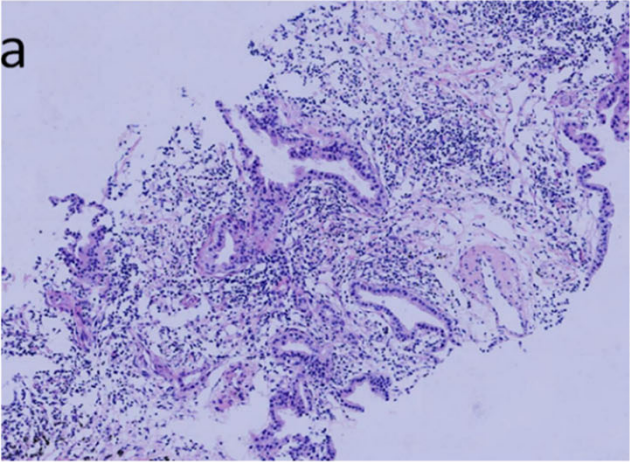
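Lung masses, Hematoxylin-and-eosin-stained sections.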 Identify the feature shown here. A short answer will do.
Irregular glands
